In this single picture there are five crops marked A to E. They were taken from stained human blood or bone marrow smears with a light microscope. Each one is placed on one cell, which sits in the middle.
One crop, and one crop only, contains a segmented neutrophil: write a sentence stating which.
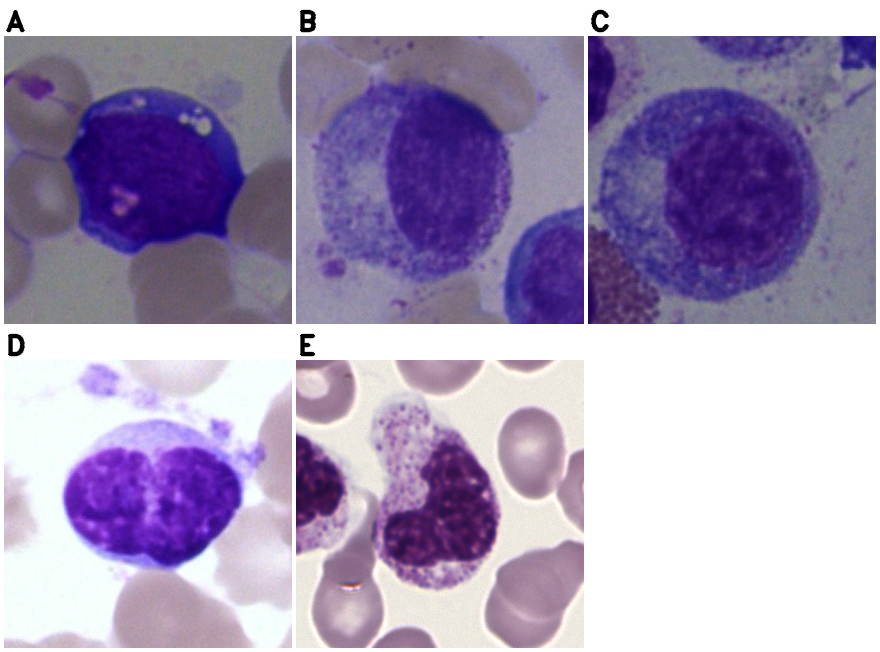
Of the labelled crops, the one that shows a segmented neutrophil is crop E.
